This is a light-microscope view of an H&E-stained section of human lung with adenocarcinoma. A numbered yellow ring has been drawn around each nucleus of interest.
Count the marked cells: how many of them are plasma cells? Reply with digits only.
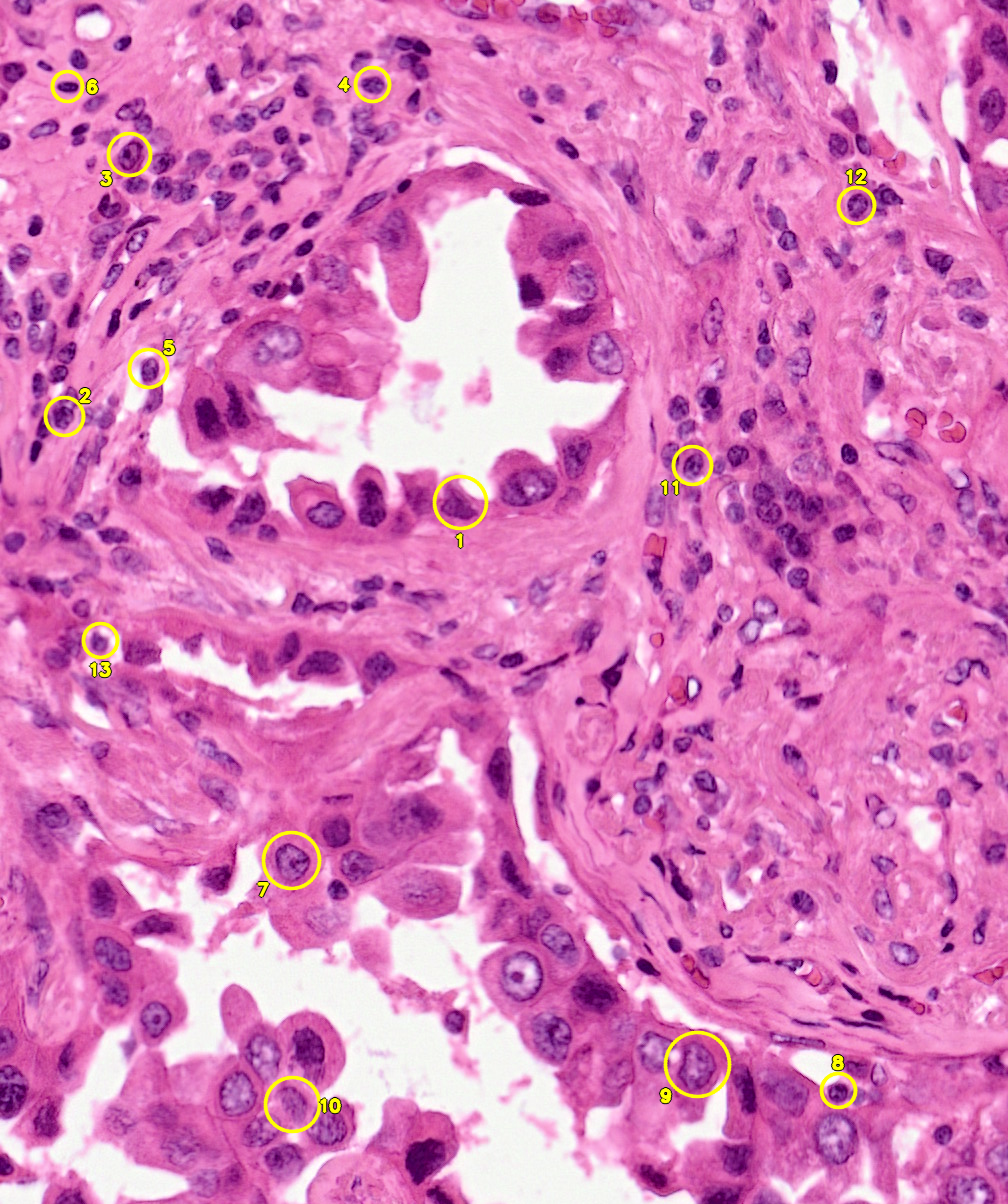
3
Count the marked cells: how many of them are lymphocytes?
6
